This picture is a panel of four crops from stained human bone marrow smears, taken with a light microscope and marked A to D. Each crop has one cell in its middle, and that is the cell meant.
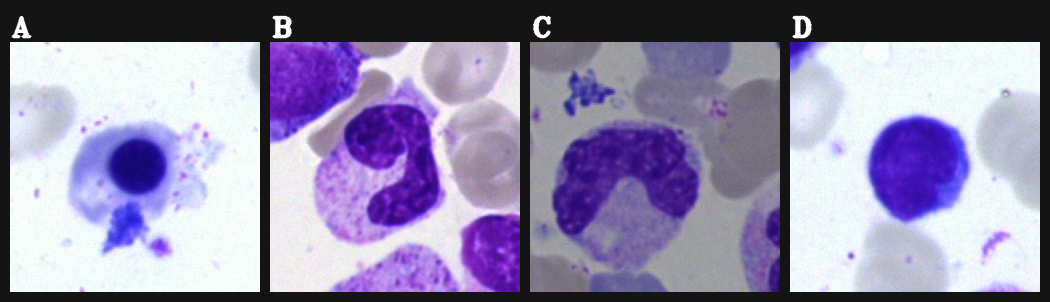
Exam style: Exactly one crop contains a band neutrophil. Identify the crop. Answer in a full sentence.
Crop C is the correct crop, and it shows a band neutrophil.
